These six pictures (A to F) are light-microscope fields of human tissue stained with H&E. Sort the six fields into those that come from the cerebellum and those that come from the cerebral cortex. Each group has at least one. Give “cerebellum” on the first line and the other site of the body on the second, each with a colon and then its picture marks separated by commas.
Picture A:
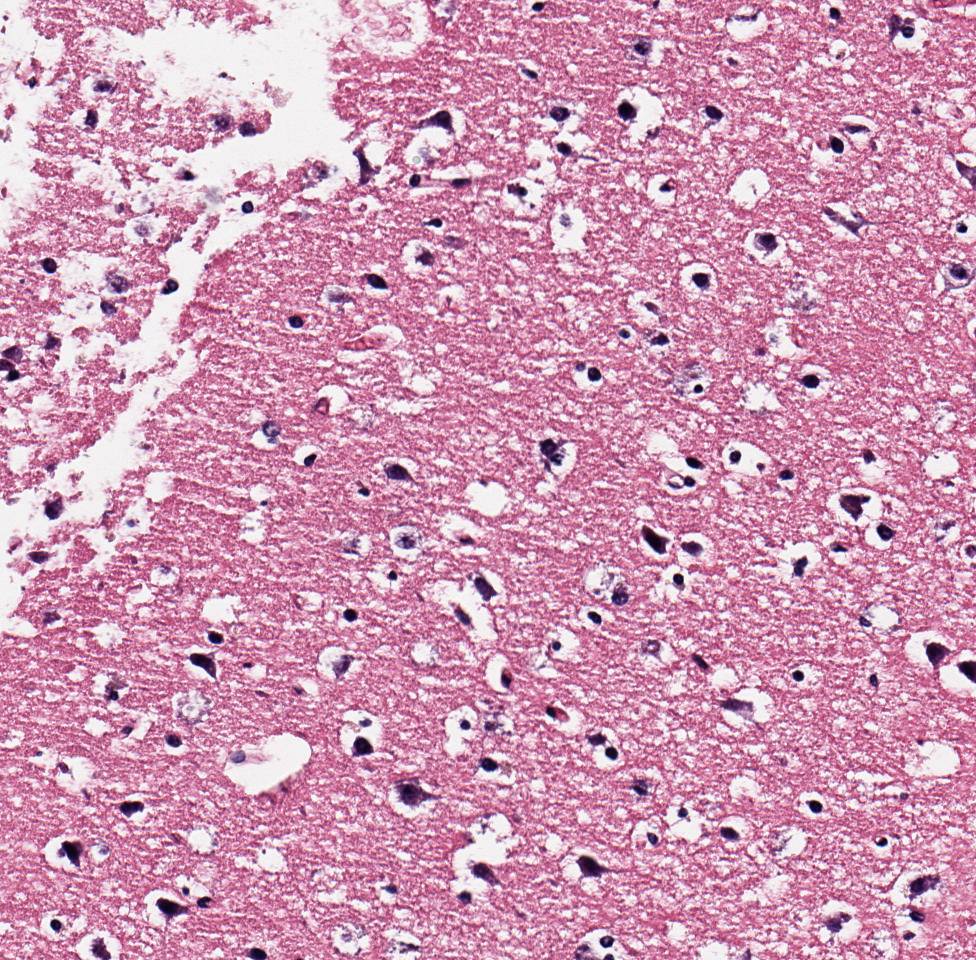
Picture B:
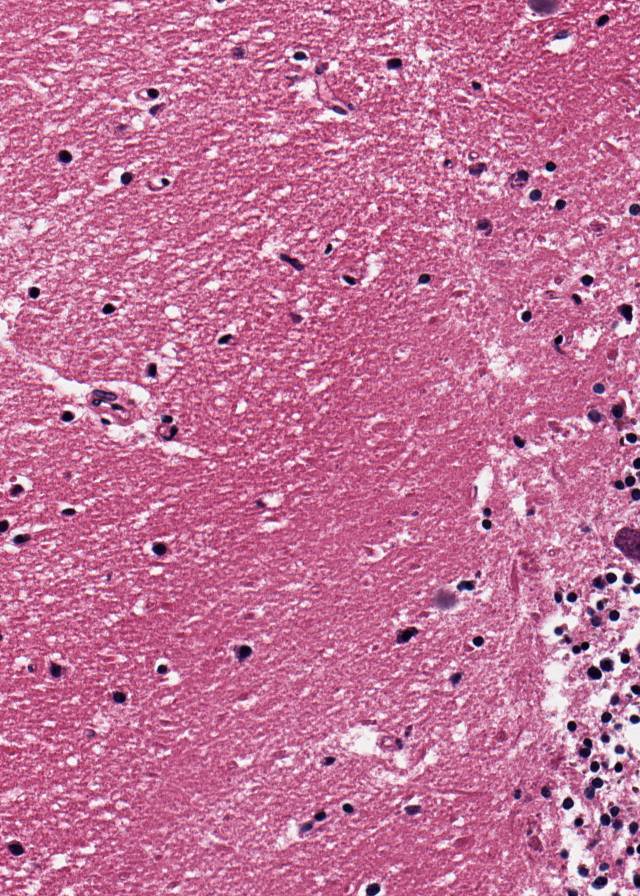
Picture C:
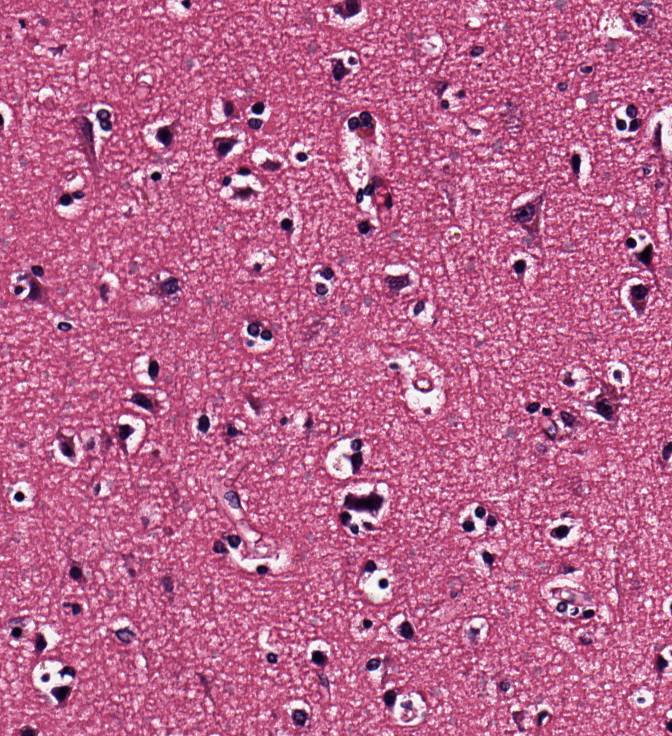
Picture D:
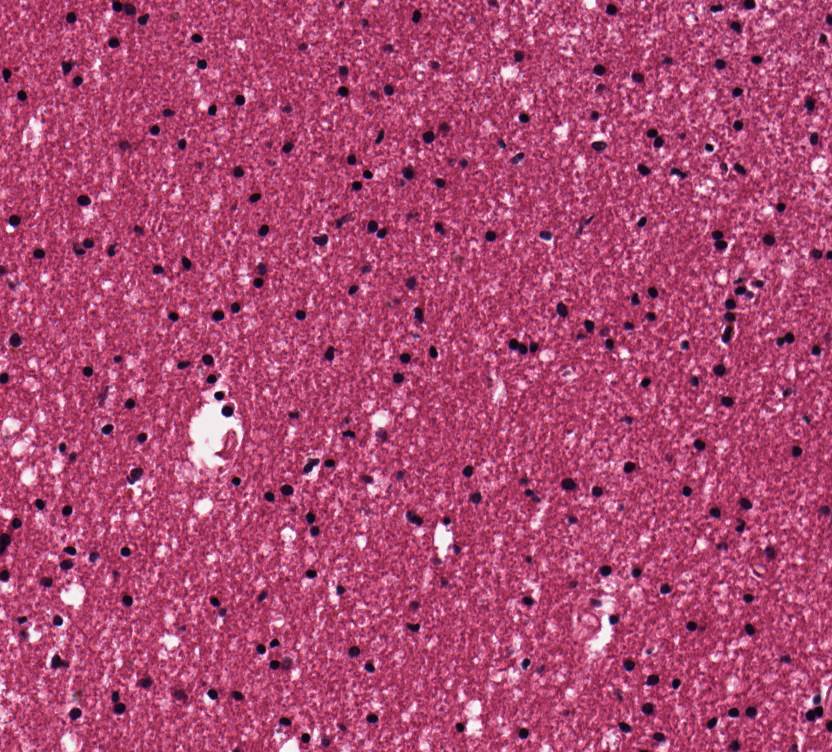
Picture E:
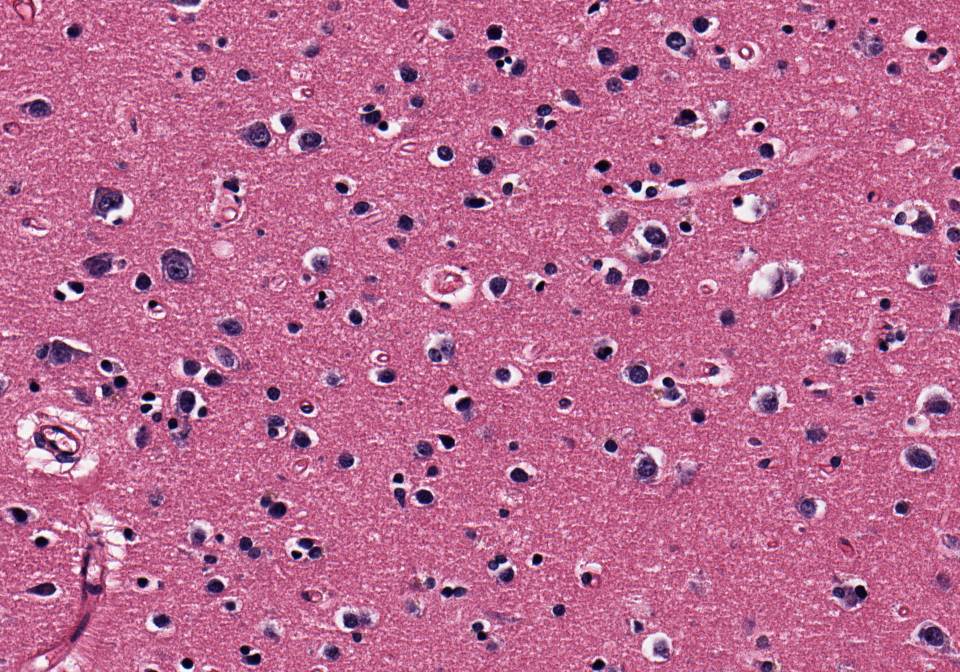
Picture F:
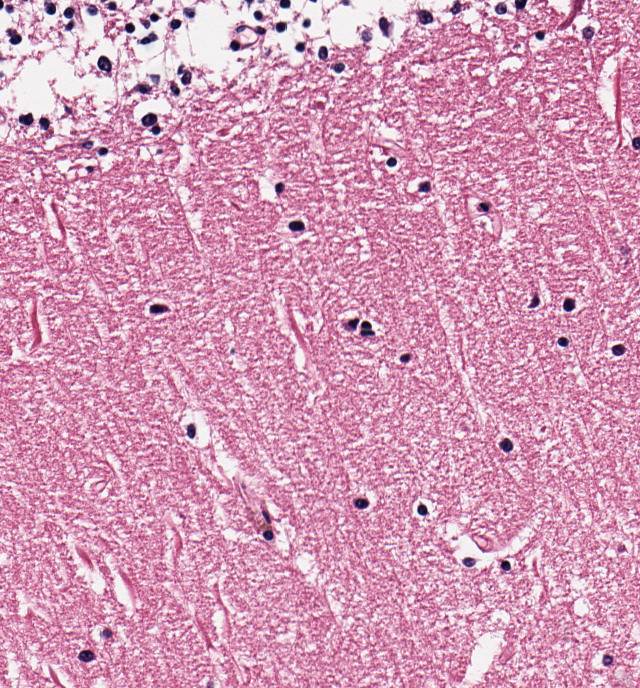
cerebellum: B, F
cerebral cortex: A, C, D, E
